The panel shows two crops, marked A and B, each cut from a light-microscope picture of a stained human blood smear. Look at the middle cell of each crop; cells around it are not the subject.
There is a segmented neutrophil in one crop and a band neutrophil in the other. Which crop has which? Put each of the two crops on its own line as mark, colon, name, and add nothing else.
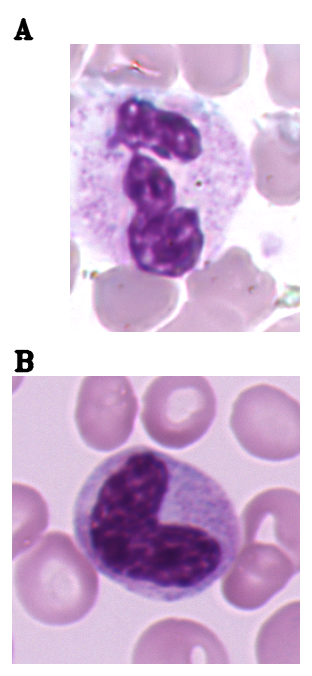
A: segmented neutrophil
B: band neutrophil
